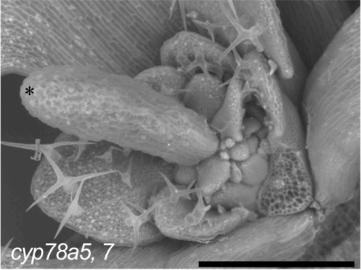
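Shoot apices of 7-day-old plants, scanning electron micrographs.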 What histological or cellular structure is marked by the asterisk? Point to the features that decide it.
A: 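A large, club-shaped, cylindrical organ lies across the apex. It is rounded in cross-section with no flat blade. Small rounded bulges cluster near its base among the leaves. That points to this answer: central leaf-like structure with radial polarity.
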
